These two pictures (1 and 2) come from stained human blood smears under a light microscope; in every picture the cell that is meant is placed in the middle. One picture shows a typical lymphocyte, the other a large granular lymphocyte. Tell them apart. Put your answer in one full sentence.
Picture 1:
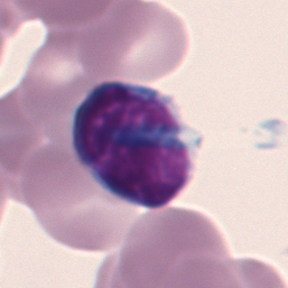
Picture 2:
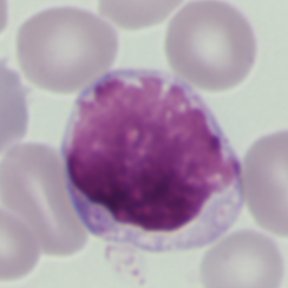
The cell in picture 1 is a typical lymphocyte, and the one in picture 2 is a large granular lymphocyte.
